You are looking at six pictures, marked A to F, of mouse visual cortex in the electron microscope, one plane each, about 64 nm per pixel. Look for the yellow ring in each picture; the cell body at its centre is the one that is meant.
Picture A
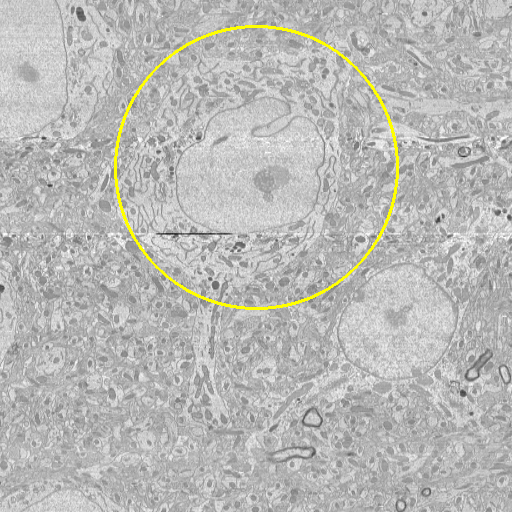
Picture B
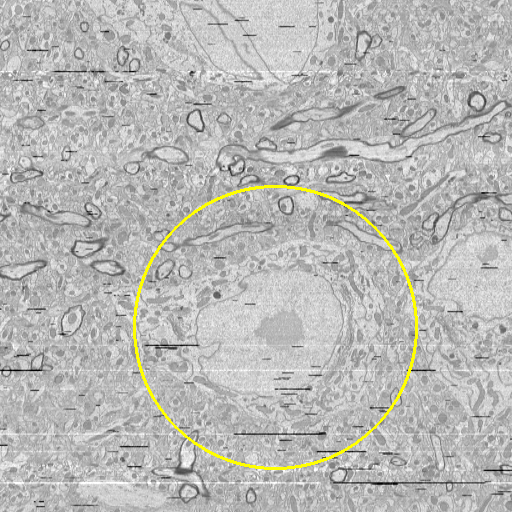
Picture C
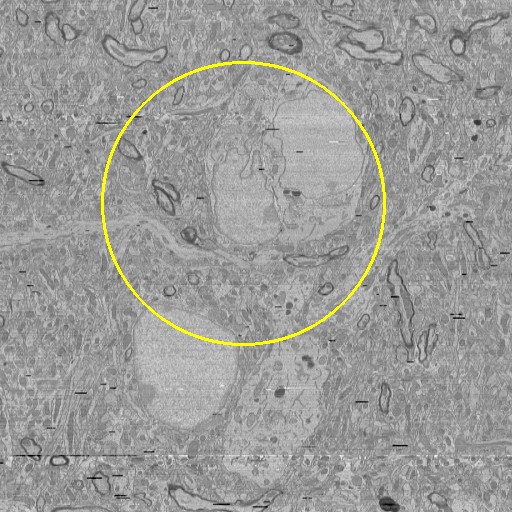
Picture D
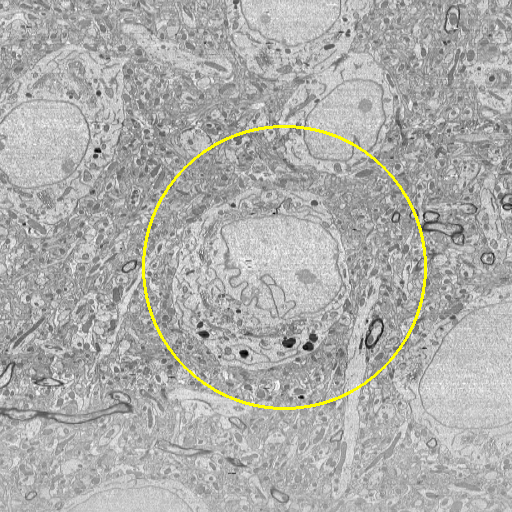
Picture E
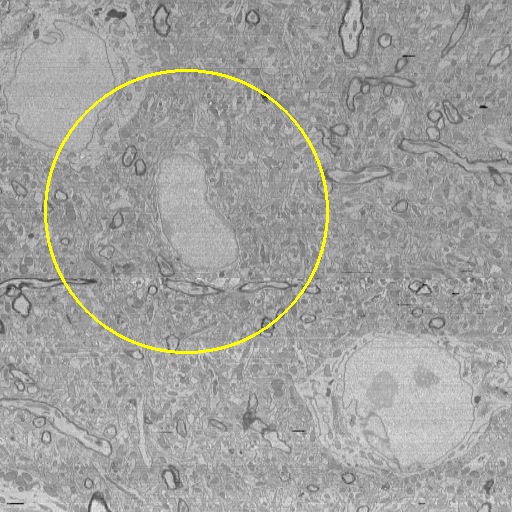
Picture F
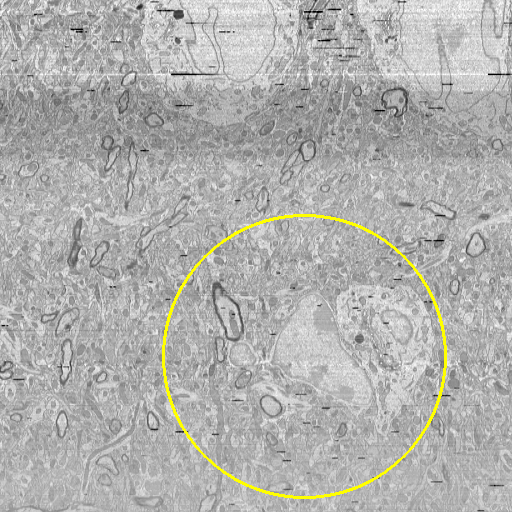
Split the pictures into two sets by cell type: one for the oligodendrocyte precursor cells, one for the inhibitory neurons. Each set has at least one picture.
Pictures C, E and F show oligodendrocyte precursor cells, while pictures A, B and D show inhibitory neurons.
